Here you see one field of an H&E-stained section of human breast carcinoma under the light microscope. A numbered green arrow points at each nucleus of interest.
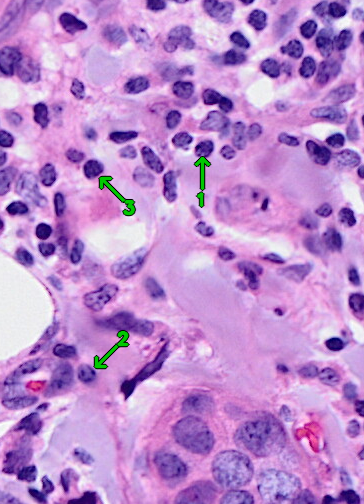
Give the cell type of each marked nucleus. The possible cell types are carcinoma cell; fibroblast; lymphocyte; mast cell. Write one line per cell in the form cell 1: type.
cell 1: lymphocyte
cell 2: mast cell
cell 3: lymphocyte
